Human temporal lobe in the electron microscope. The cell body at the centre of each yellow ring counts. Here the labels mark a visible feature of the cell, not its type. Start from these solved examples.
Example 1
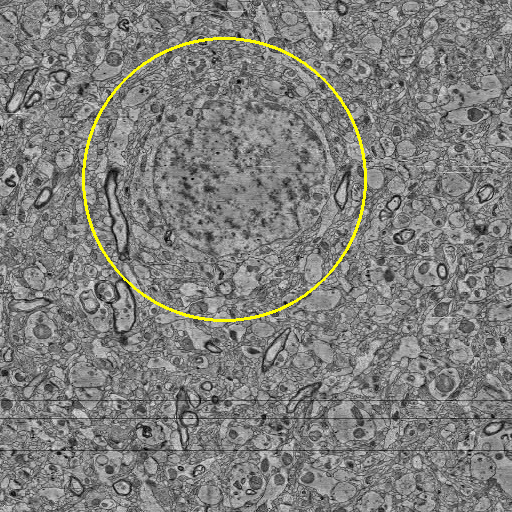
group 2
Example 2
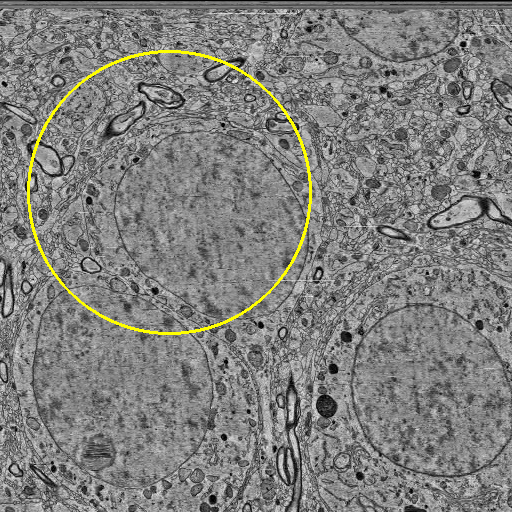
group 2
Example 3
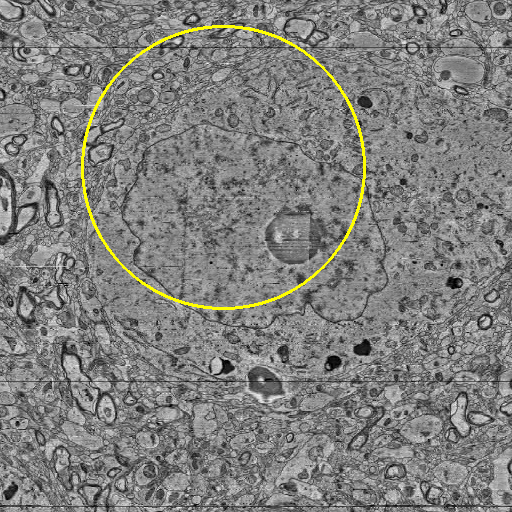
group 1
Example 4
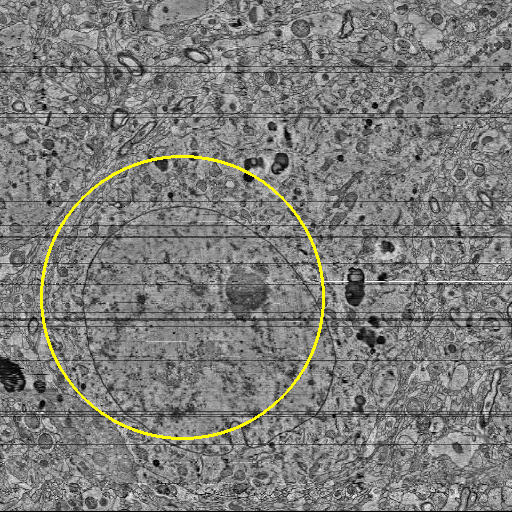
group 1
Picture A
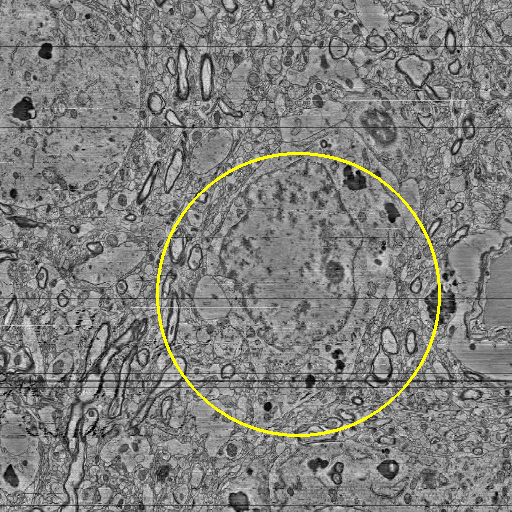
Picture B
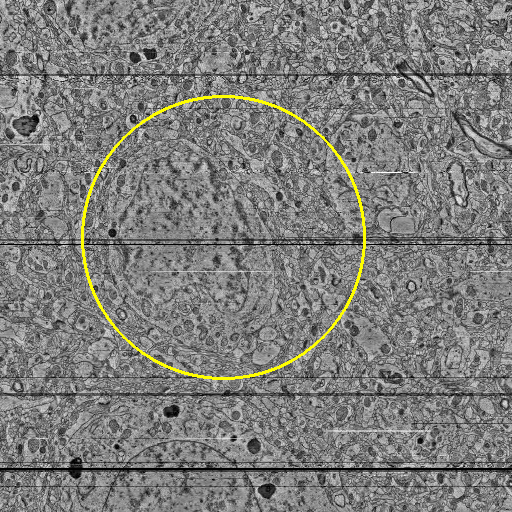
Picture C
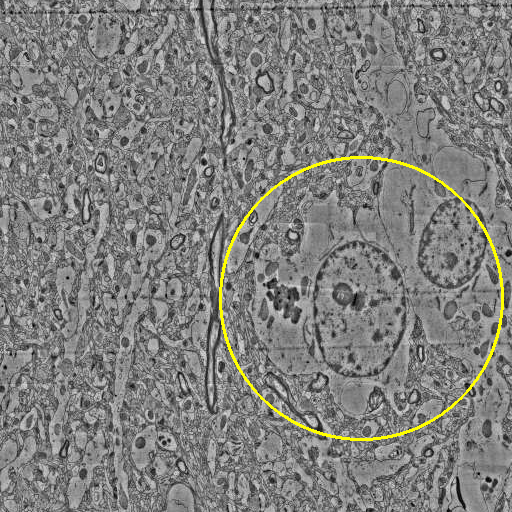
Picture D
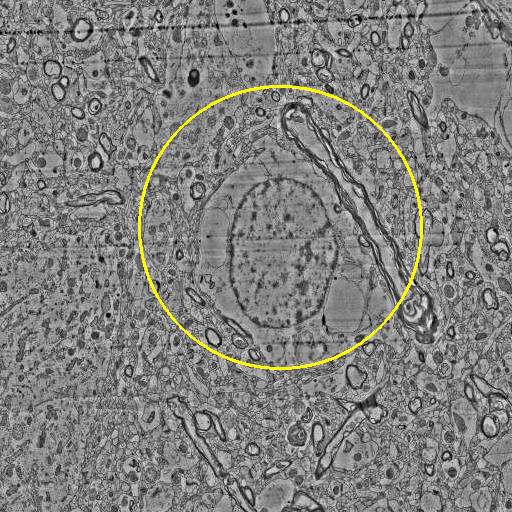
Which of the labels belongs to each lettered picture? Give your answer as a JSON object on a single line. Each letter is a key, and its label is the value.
{"A": "group 1", "B": "group 2", "C": "group 1", "D": "group 2"}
